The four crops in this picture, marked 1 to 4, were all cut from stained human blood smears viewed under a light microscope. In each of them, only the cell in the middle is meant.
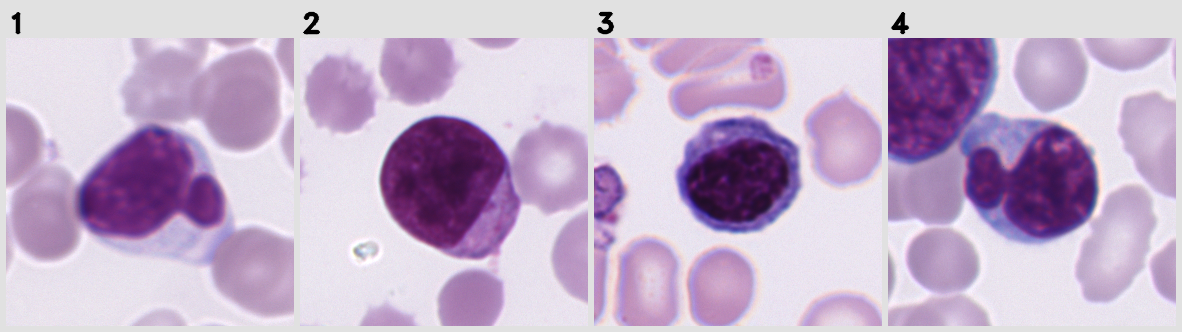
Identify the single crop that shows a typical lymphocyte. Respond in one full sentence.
Selected crop: 4, which is the one that shows a typical lymphocyte.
